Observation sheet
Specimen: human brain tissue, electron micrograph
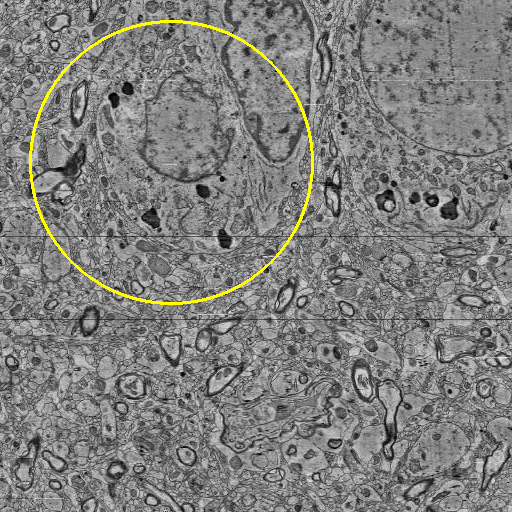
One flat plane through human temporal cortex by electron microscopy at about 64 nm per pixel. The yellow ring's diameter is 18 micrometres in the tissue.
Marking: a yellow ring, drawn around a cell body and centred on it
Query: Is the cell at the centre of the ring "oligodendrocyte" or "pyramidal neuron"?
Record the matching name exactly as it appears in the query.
pyramidal neuron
